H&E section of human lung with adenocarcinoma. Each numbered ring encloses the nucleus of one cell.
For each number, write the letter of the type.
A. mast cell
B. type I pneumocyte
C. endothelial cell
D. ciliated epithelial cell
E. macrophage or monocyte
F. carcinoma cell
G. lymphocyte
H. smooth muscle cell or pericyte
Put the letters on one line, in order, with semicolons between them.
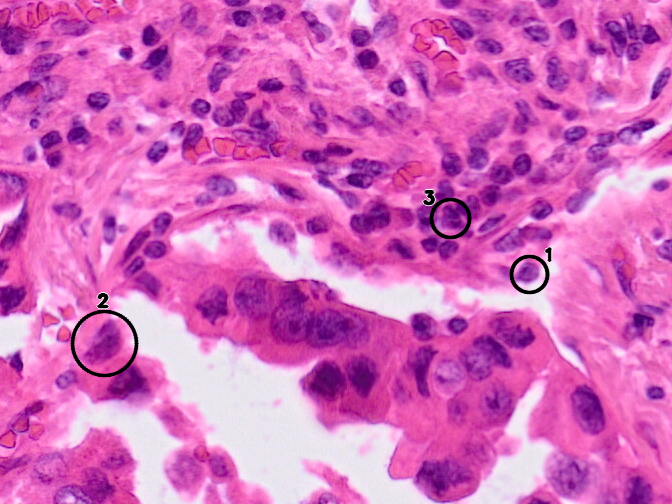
G; F; G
